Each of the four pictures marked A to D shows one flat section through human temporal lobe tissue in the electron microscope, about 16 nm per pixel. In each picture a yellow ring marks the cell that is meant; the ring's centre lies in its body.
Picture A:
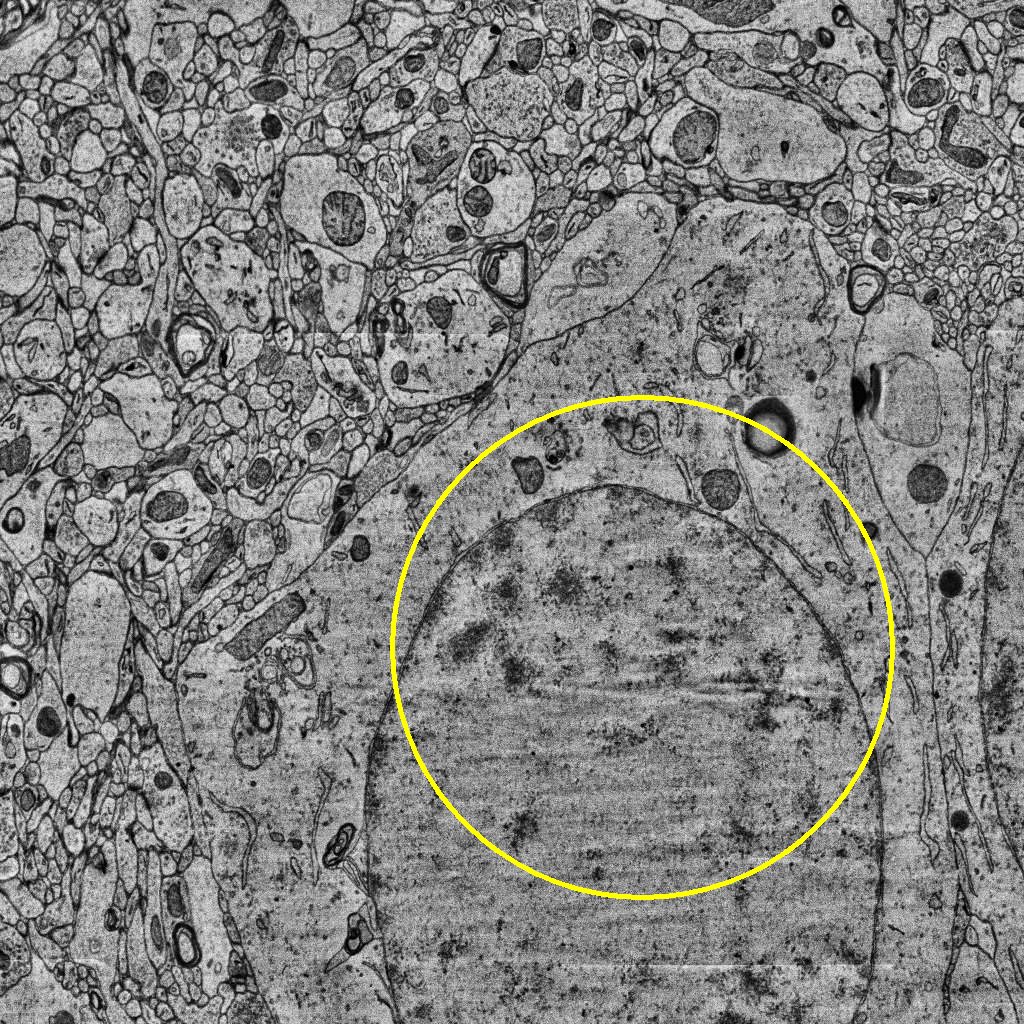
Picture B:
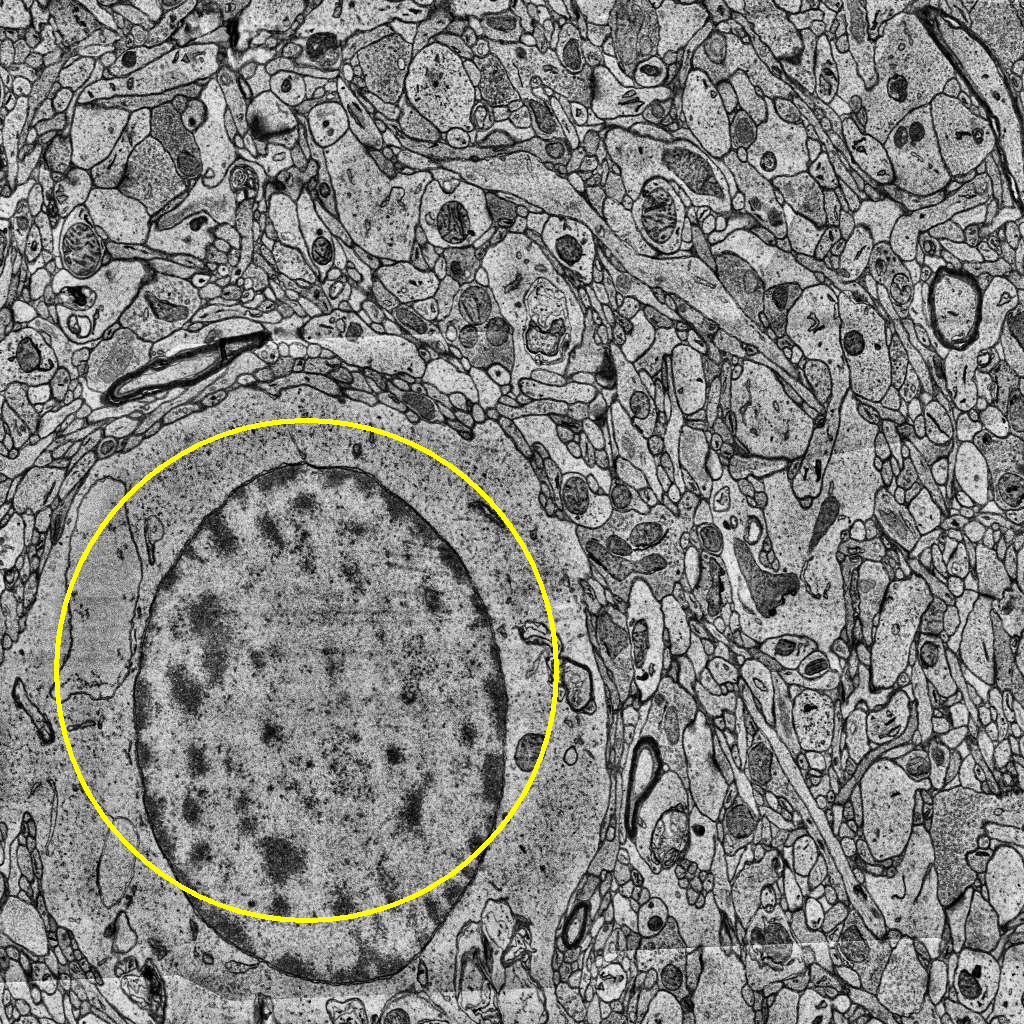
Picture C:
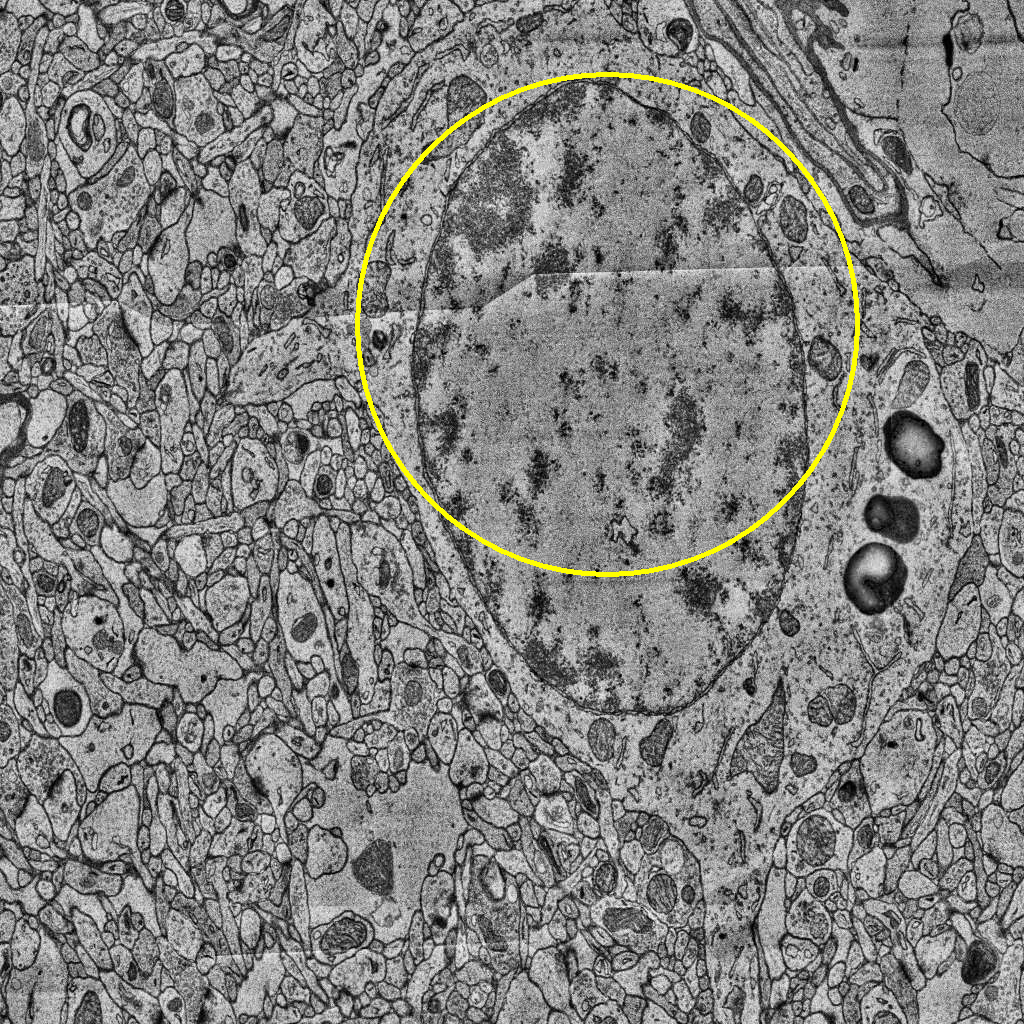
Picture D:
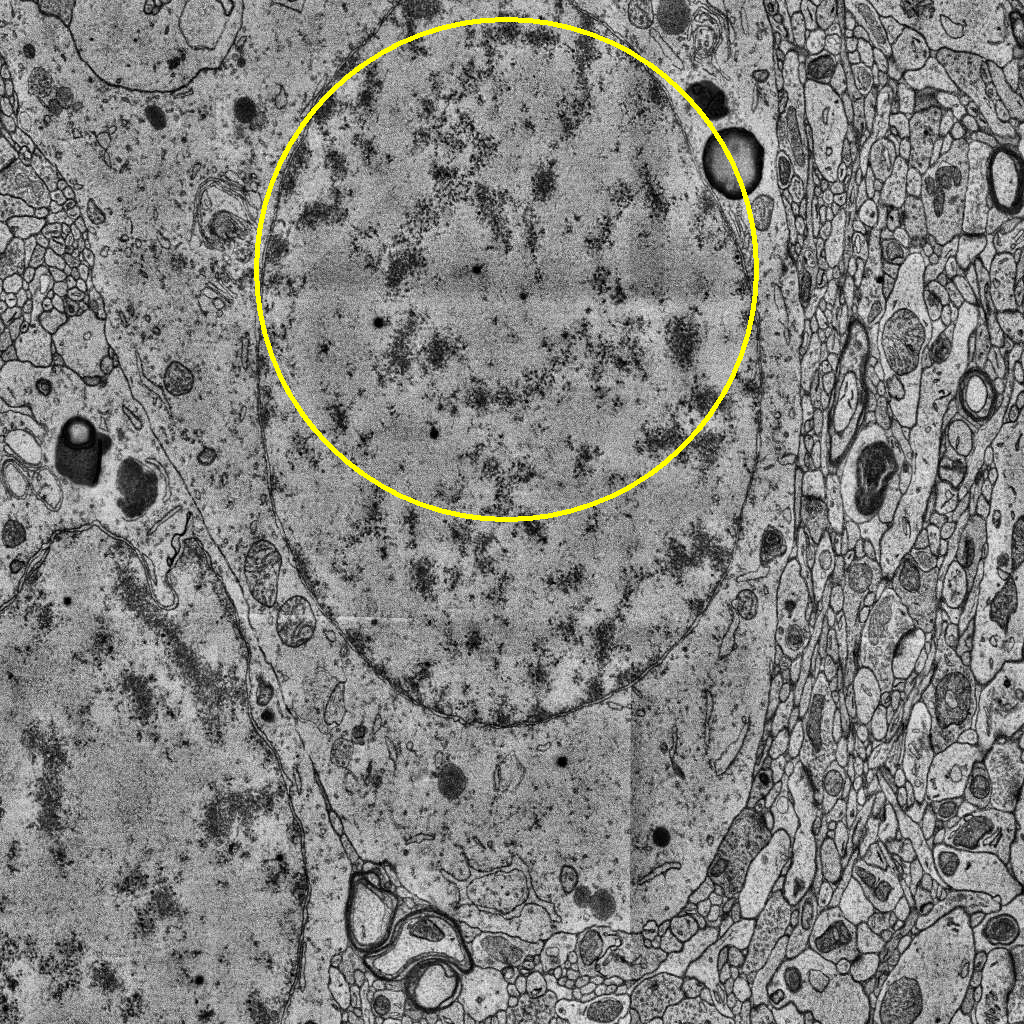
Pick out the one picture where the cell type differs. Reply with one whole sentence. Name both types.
Picture B differs, because its cell is an astrocyte and the rest are pyramidal neurons.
